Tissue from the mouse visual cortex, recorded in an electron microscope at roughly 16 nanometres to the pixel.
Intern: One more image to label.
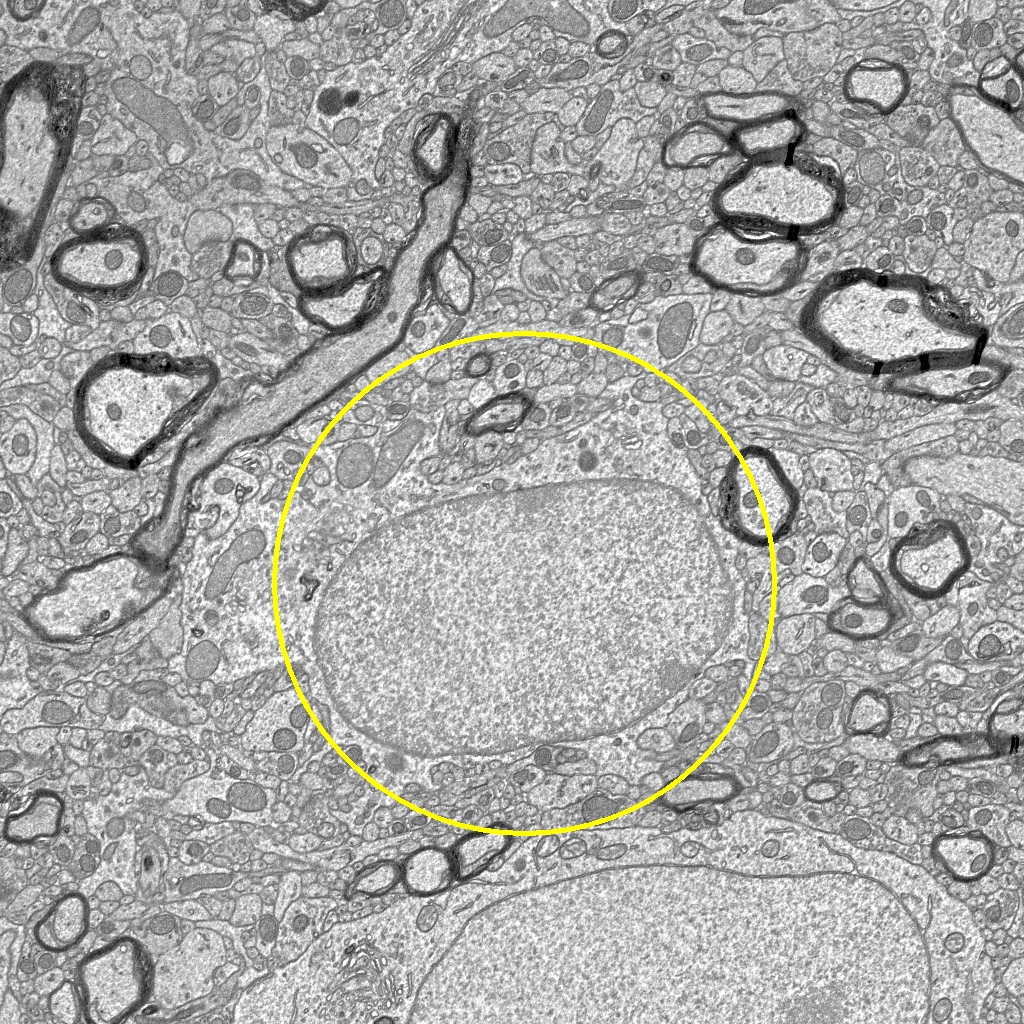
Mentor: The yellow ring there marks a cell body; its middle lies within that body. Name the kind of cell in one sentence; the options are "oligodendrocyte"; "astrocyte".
The ring marks the cell body of an astrocyte.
